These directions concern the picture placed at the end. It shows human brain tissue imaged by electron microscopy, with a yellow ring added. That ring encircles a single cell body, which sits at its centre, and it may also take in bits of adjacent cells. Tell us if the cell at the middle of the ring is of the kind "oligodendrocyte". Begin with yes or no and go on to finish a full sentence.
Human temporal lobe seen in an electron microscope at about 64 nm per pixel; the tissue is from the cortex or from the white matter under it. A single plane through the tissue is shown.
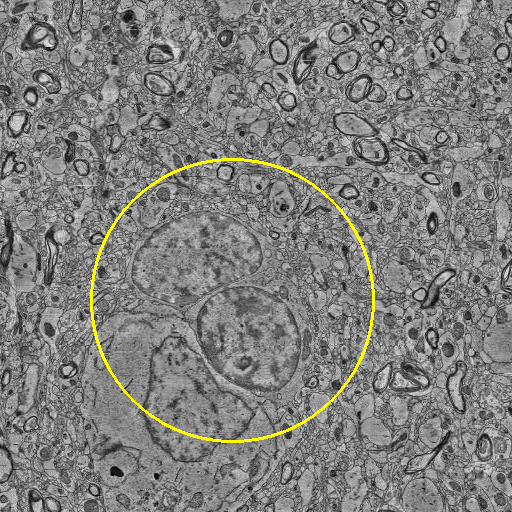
Yes, the cell sitting at the centre of the yellow ring in the picture is of that kind.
